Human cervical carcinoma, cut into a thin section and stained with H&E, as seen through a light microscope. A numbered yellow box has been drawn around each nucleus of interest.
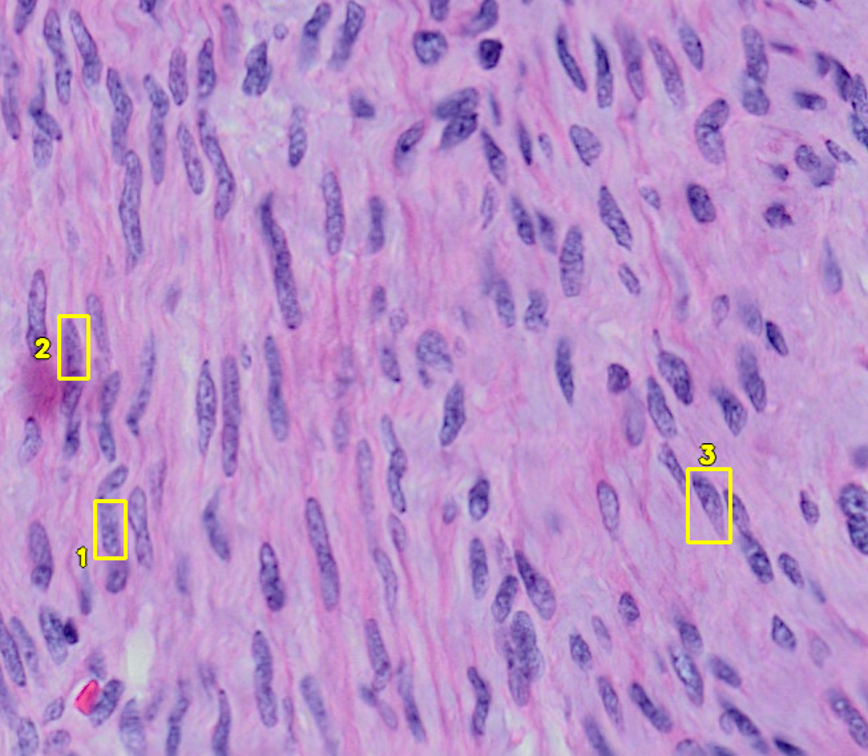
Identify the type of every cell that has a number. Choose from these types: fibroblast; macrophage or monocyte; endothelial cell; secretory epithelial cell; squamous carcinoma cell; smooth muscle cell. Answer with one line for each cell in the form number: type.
1: smooth muscle cell
2: smooth muscle cell
3: fibroblast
